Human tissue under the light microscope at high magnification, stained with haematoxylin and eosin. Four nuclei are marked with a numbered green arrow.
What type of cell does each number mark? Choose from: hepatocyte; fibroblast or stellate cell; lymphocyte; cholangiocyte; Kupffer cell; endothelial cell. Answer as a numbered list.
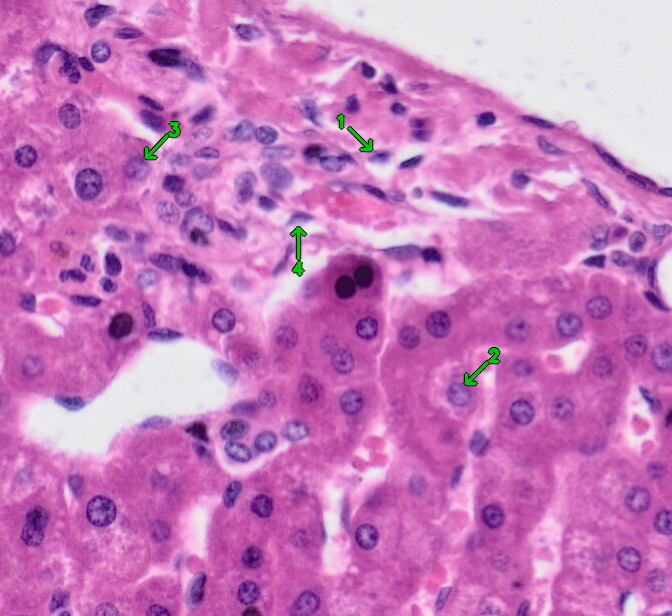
1. fibroblast or stellate cell
2. hepatocyte
3. cholangiocyte
4. fibroblast or stellate cell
